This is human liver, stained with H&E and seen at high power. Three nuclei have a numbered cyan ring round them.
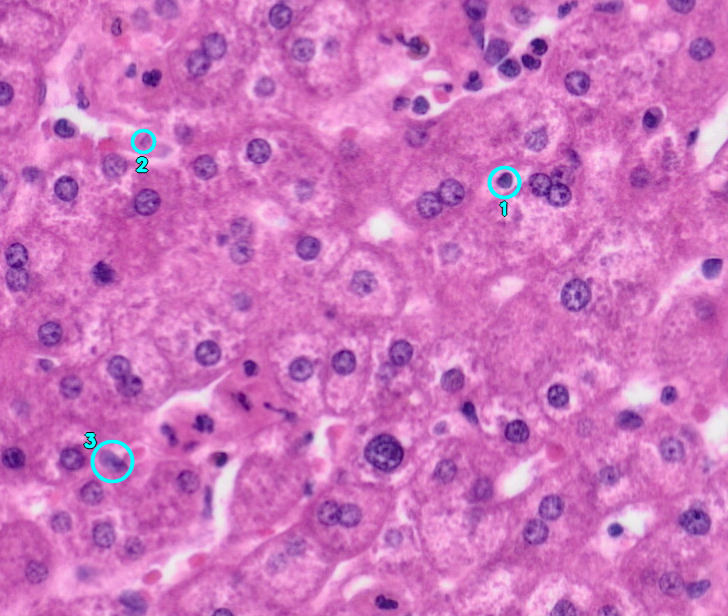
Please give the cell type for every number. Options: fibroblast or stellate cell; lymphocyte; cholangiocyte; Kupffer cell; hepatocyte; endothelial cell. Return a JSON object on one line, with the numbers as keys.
{"1": "lymphocyte", "2": "Kupffer cell", "3": "endothelial cell"}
